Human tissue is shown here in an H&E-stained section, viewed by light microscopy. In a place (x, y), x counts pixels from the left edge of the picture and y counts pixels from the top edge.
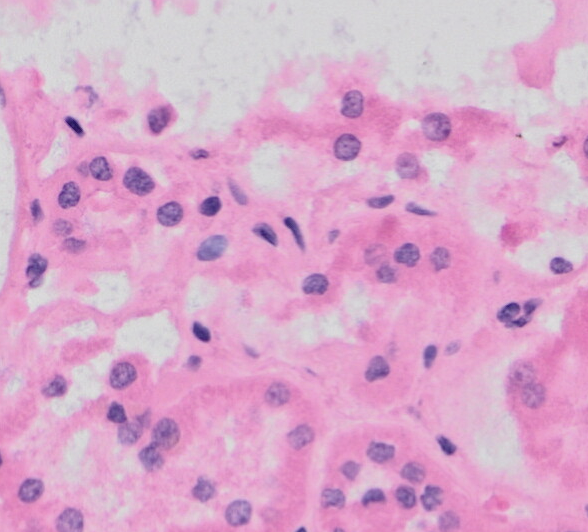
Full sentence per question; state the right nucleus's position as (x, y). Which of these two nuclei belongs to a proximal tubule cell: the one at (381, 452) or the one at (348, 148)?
The nucleus that belongs to a proximal tubule cell is located at (348, 148).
